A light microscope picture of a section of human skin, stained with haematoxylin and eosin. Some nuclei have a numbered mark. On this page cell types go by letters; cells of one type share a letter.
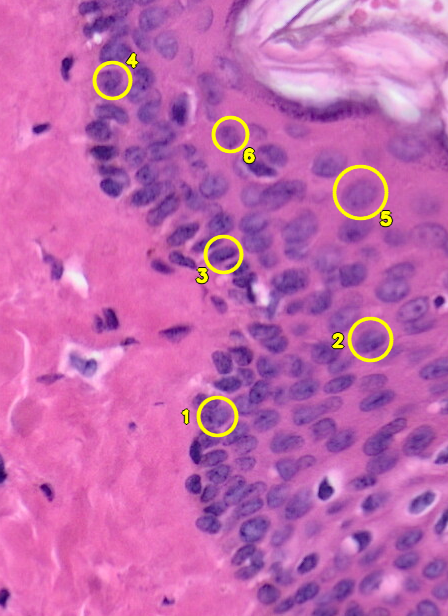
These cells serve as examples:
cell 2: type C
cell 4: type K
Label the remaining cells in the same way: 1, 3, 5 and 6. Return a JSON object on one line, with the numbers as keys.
{"1": "type K", "3": "type K", "5": "type C", "6": "type C"}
